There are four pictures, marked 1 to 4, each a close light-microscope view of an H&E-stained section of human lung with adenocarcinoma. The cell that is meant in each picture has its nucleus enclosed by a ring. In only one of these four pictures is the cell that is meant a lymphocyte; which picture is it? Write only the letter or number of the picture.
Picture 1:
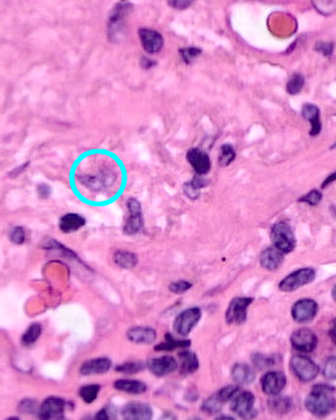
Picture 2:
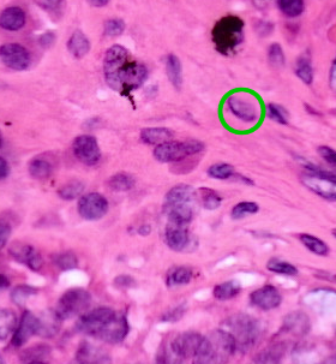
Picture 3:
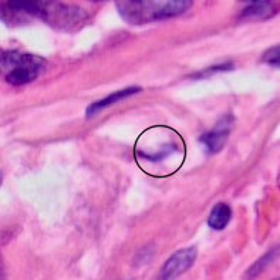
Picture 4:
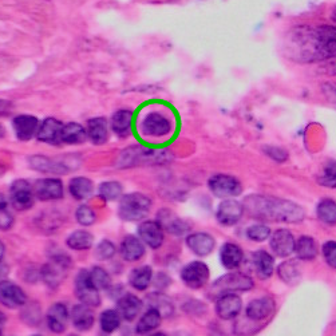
4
